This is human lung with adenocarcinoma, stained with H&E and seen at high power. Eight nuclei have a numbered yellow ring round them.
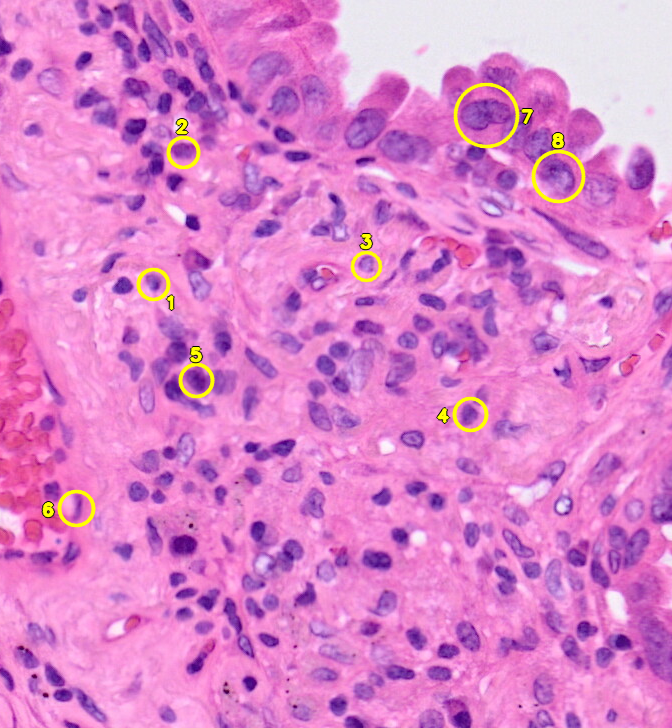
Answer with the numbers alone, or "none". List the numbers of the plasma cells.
2, 5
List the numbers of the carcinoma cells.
7, 8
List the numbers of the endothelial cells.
6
